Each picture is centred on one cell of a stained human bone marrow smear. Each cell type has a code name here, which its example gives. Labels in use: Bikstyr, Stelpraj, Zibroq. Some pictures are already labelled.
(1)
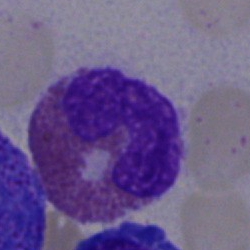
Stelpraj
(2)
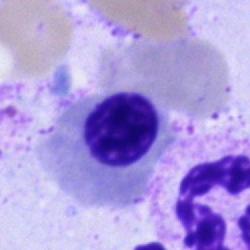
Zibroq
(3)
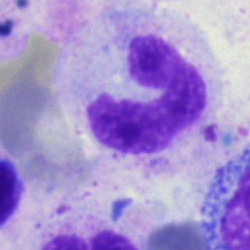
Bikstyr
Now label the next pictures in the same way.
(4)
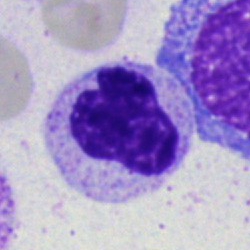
Bikstyr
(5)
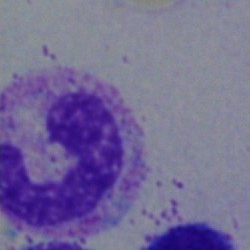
Bikstyr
